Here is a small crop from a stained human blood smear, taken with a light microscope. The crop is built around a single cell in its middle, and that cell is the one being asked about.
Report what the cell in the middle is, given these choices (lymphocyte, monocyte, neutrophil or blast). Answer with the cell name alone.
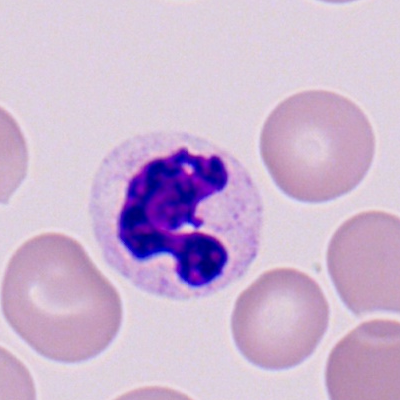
neutrophil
